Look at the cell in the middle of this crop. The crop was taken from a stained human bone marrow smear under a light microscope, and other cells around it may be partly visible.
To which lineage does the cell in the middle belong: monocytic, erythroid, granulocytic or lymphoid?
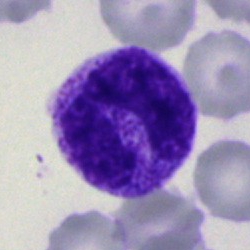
granulocytic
